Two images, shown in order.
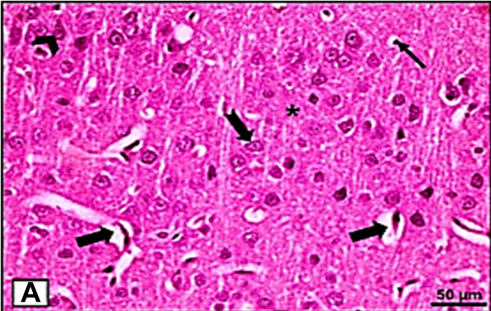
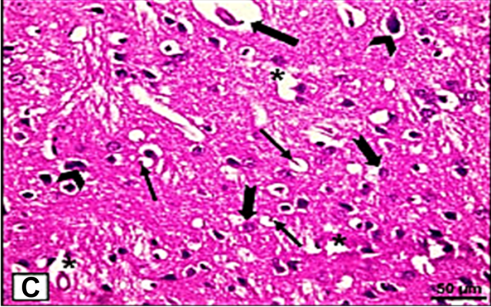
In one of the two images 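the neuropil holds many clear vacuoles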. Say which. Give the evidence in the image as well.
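Second image: many clear empty holes lie scattered through the pink background. First image: the pink background between cells is largely smooth and even.
Answer: the second image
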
